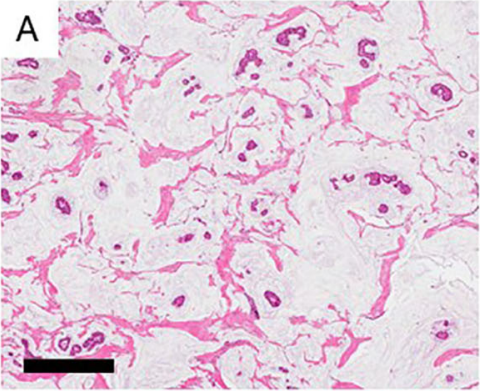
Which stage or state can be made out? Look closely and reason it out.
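Tumor cell clusters are few and small relative to the mucin. Most of the field is pale mucin. That points to this answer: Paucicellular.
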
